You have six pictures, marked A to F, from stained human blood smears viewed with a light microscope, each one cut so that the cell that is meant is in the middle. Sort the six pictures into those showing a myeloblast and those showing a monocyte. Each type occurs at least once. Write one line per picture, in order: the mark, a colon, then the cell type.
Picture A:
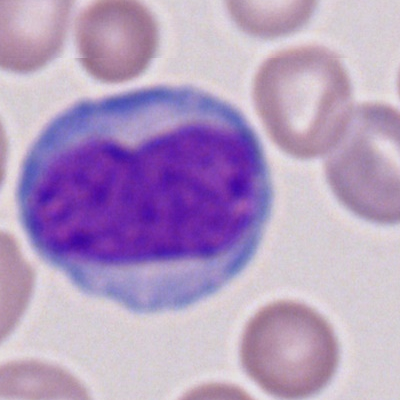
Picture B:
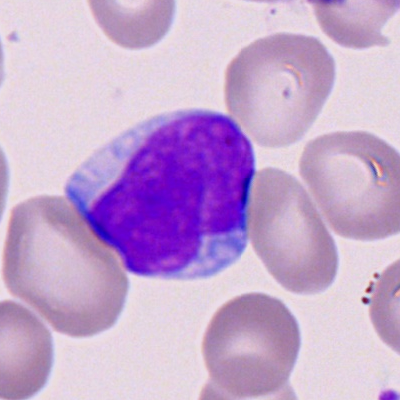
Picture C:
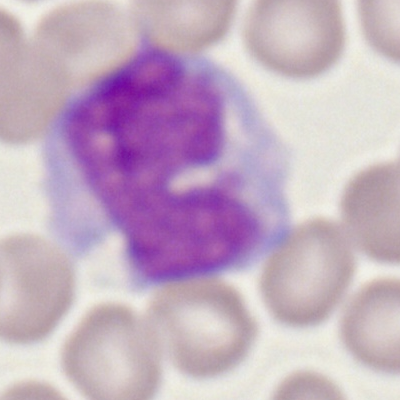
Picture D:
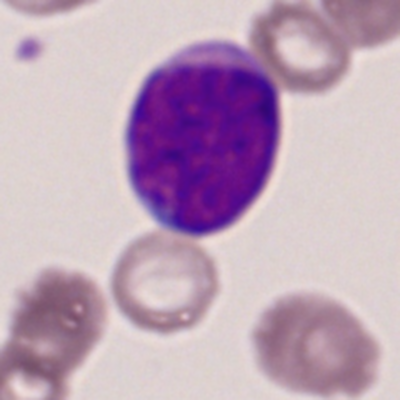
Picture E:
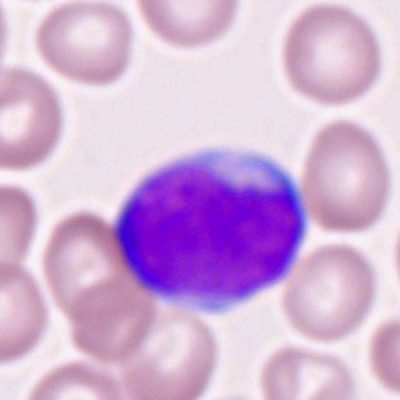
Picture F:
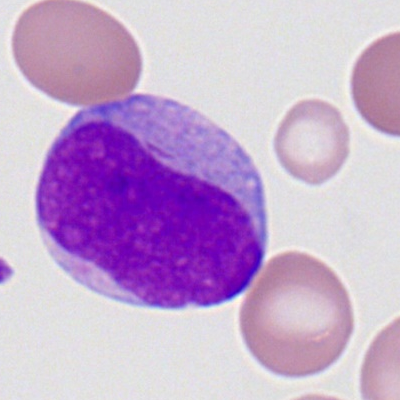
A: monocyte
B: myeloblast
C: monocyte
D: myeloblast
E: myeloblast
F: myeloblast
